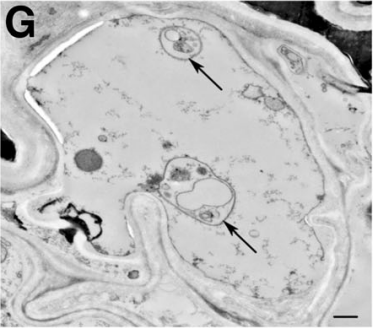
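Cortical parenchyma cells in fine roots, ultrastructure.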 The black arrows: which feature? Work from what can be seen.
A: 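Autophagy-related structures. Two membrane-bound bodies float in a large pale cell lumen. Each encloses smaller membranous and dense inclusions.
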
